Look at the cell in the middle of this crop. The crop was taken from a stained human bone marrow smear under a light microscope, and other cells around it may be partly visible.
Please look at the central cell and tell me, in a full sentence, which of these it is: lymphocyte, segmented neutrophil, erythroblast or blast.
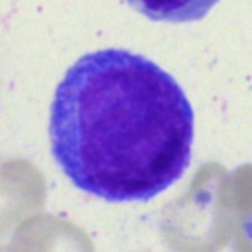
At the middle of the frame sits a blast.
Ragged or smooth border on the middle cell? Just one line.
Edge check done: smooth outline, no projections present.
